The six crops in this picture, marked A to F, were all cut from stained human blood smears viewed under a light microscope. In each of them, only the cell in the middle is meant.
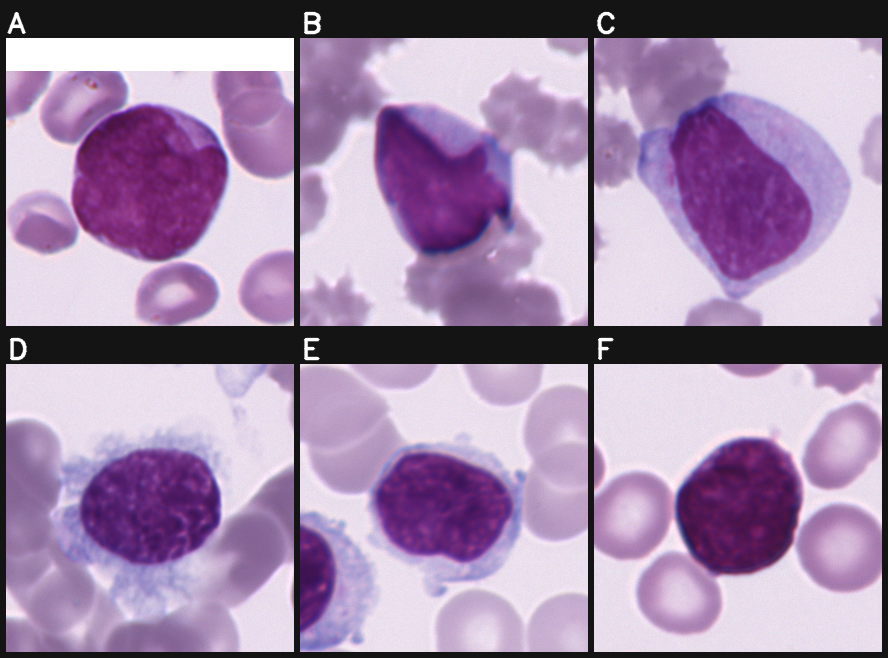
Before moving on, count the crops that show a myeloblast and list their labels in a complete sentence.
In crops A, B, C and F, that is four crops, the cells are myeloblasts.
